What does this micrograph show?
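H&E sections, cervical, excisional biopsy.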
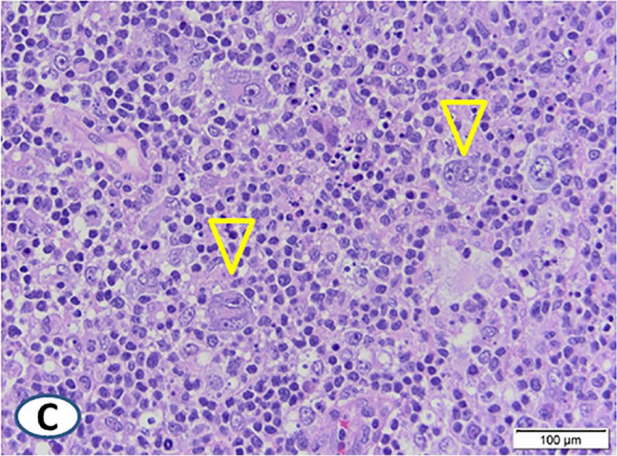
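This lymph node field is rich in large lymphoid cells set among many small dark lymphocytes. The large cells have abundant pale pink cytoplasm and nuclei that are lobulated or multiple, giving several cells a multinucleated look. Their nuclei contain prominent nucleoli that stand out against the paler chromatin. The small lymphocytes around them have round, dense, dark nuclei with little cytoplasm, and some scattered debris-like dark fragments appear near the center.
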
